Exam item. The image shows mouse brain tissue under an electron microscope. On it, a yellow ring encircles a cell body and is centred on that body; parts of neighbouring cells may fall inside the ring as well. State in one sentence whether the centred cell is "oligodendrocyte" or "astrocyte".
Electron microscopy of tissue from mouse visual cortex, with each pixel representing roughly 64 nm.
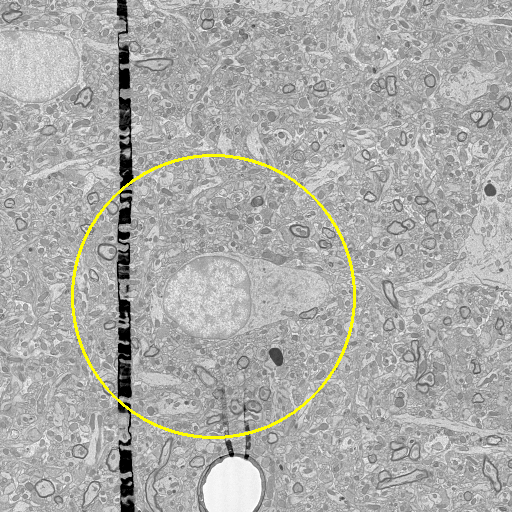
The cell body centred in the ring is an oligodendrocyte.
